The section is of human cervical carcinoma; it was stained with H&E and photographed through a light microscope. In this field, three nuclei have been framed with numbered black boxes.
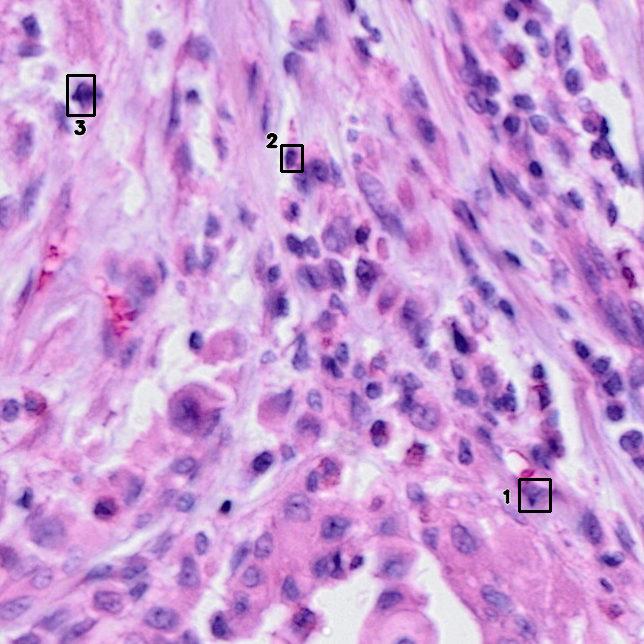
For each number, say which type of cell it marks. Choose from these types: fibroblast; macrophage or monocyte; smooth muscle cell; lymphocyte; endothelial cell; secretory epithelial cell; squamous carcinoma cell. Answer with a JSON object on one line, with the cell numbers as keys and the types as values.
{"1": "endothelial cell", "2": "lymphocyte", "3": "lymphocyte"}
